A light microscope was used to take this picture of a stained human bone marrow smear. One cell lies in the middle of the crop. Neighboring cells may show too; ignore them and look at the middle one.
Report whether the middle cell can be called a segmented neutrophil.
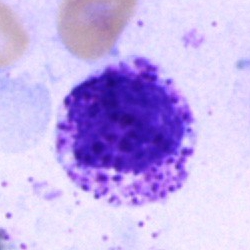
no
